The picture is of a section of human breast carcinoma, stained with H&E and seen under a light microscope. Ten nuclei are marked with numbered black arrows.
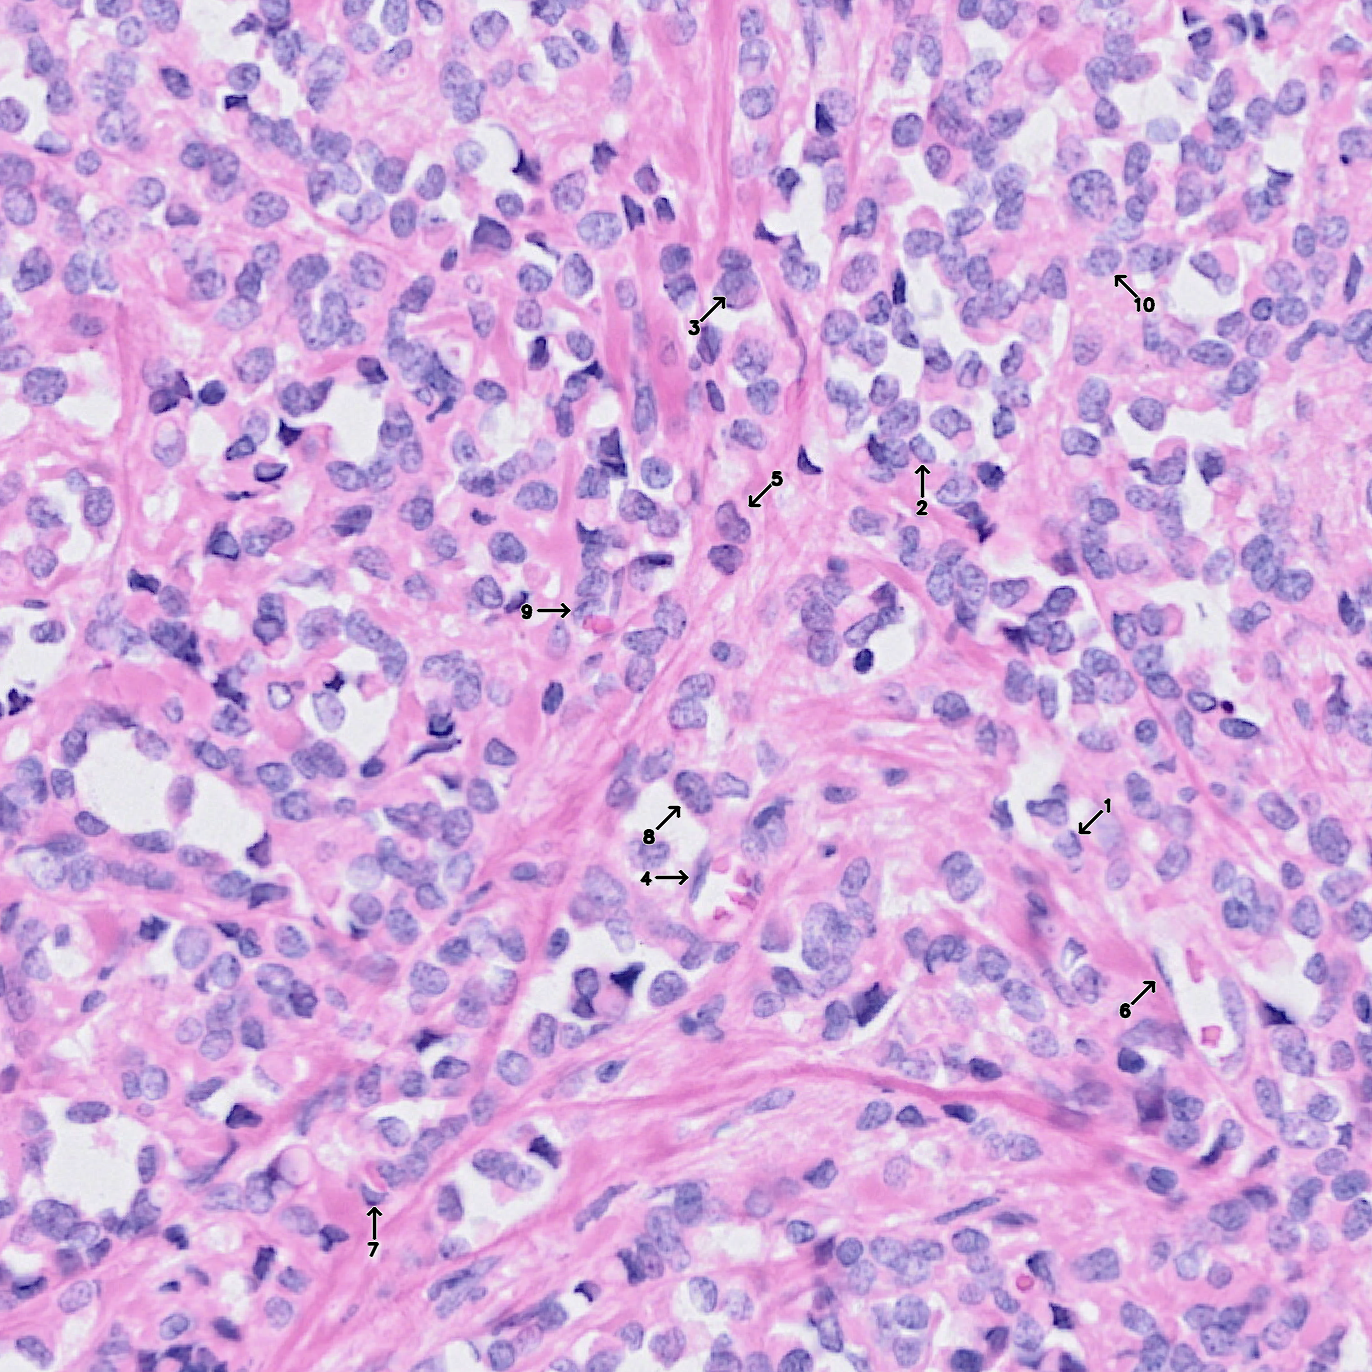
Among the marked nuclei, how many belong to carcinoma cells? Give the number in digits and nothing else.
6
